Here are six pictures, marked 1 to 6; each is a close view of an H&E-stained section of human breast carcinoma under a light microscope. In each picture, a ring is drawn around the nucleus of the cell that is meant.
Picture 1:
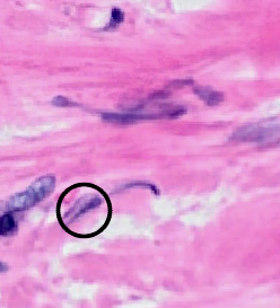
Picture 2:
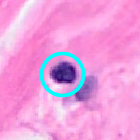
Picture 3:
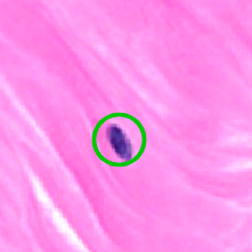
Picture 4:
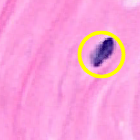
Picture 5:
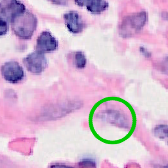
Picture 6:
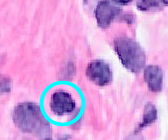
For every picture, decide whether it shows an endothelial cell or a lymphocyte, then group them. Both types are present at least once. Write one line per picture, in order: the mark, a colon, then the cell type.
1: endothelial cell
2: lymphocyte
3: lymphocyte
4: lymphocyte
5: endothelial cell
6: lymphocyte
